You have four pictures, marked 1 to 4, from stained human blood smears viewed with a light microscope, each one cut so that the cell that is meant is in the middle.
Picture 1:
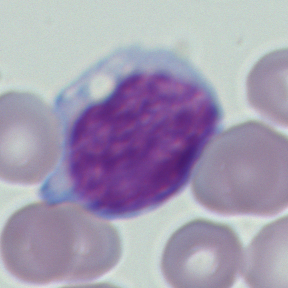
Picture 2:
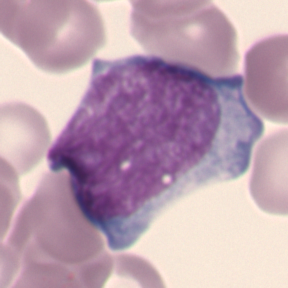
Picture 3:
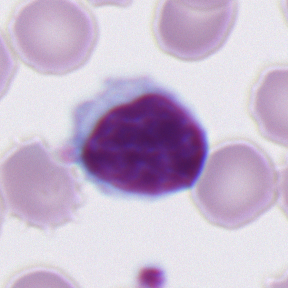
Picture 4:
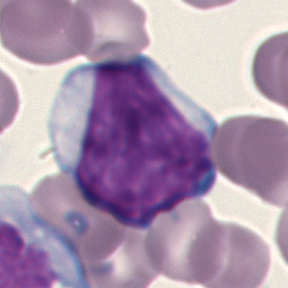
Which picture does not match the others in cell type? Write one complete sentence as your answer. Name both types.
Unlike the rest, which show myeloblasts, picture 3 shows a typical lymphocyte.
